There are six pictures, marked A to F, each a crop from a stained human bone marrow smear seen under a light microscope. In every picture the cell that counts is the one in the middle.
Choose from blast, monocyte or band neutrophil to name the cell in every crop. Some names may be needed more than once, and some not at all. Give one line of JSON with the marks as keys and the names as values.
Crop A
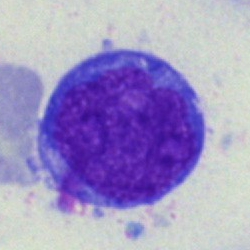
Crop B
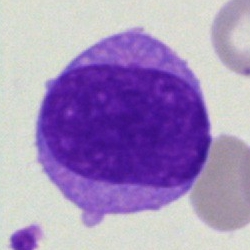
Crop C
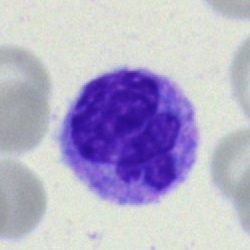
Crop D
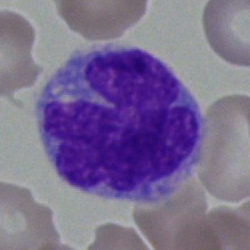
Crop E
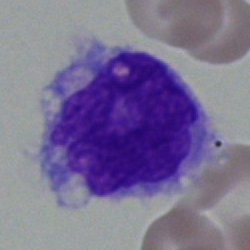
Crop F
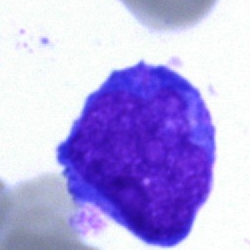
{"A": "blast", "B": "blast", "C": "monocyte", "D": "monocyte", "E": "monocyte", "F": "blast"}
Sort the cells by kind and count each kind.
blast: 3
monocyte: 3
